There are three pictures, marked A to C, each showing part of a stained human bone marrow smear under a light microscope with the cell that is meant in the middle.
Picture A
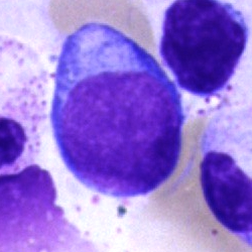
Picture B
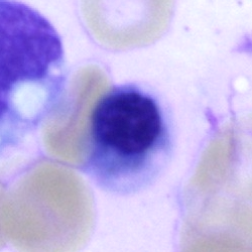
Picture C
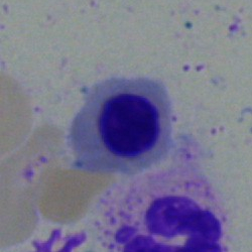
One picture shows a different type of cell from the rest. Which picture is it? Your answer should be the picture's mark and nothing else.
A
